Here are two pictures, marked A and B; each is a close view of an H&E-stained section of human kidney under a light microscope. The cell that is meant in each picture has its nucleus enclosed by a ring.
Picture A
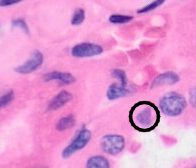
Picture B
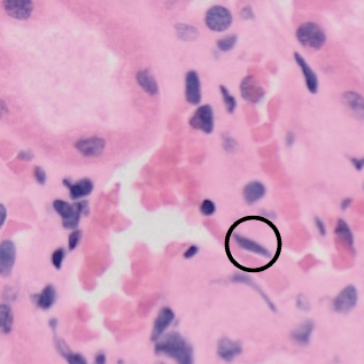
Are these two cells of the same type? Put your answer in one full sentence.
No. Picture A shows a “loop of Henle or distal tubule cell”, but picture B shows an endothelial cell.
